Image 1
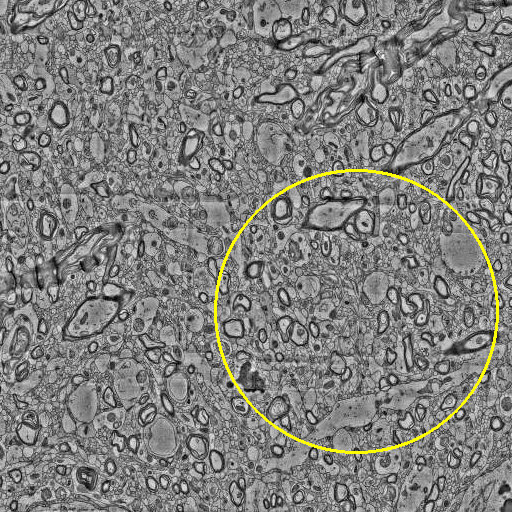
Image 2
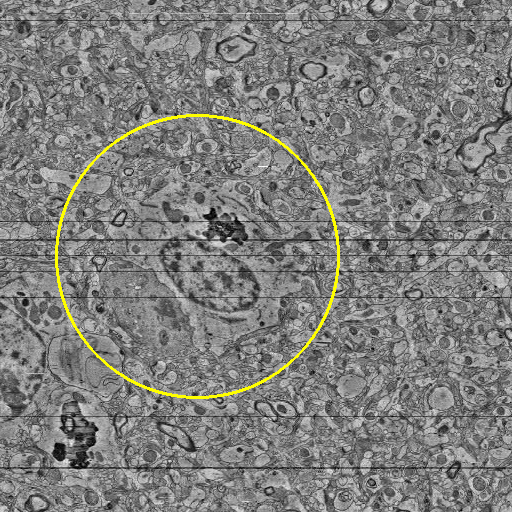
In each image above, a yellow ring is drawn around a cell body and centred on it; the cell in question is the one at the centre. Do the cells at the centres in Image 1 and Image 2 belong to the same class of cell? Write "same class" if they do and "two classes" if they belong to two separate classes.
two classes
